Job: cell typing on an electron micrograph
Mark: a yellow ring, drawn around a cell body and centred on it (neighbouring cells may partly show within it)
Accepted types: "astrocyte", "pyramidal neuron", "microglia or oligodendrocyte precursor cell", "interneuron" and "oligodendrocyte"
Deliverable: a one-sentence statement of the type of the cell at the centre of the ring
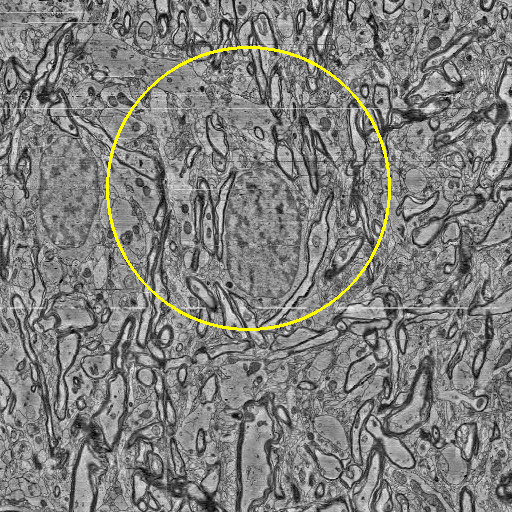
The centred cell body is that of an oligodendrocyte.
